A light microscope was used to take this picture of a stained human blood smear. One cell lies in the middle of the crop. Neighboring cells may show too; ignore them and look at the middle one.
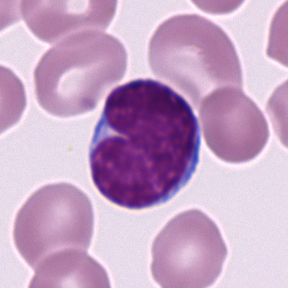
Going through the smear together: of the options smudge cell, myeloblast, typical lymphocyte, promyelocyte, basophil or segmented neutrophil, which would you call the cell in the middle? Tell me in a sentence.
The cell centred in this crop is categorized as a typical lymphocyte.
